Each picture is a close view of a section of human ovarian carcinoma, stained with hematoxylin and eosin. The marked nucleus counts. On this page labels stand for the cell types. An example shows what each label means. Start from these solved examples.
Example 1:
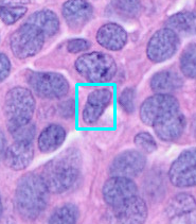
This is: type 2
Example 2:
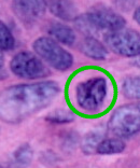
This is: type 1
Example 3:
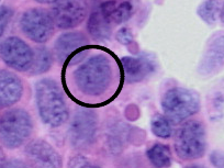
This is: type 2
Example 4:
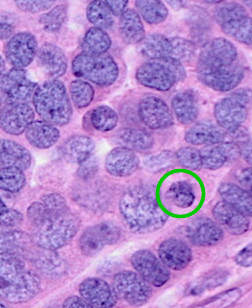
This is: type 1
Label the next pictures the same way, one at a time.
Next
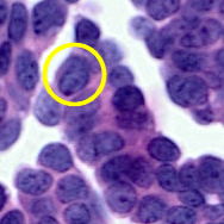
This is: type 2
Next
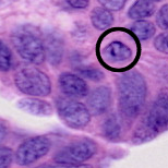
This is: type 1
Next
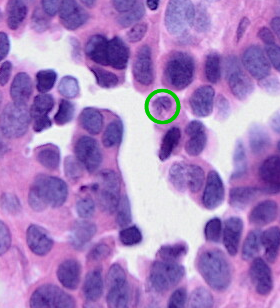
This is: type 1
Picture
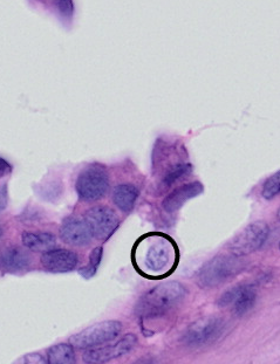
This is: type 1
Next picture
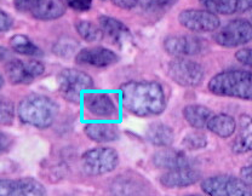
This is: type 2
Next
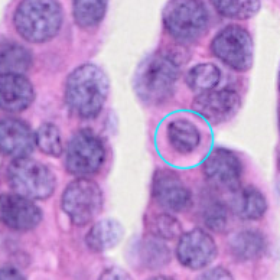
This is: type 1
